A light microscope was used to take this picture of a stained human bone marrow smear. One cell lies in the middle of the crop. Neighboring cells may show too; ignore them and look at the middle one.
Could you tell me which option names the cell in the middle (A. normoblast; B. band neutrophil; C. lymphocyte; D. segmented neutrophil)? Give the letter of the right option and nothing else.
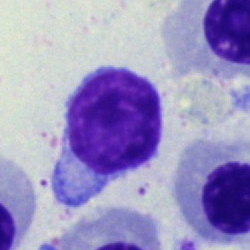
C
